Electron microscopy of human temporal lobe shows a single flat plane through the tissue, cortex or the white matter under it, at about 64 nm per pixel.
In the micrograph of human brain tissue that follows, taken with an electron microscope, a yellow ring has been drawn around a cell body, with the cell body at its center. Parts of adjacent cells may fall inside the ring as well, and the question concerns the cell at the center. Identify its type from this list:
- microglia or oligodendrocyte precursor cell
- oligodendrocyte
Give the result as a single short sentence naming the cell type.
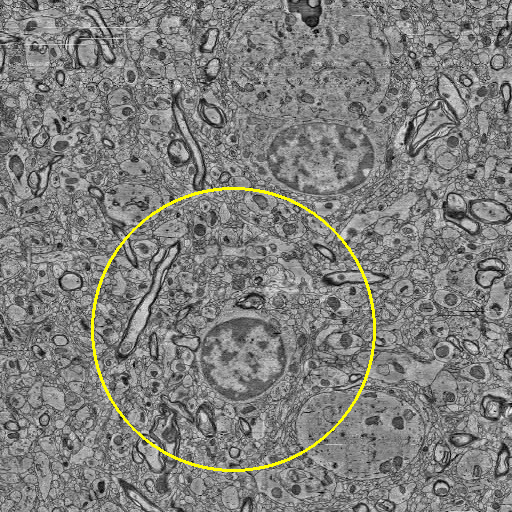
The ring is centered on an oligodendrocyte.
